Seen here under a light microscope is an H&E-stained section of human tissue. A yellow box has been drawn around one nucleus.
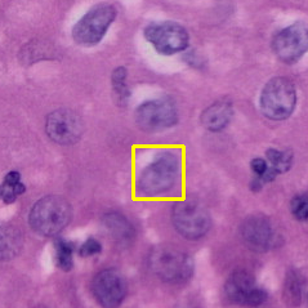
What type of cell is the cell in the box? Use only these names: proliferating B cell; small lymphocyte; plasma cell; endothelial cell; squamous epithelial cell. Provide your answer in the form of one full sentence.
In terms of identity, the cell in the box is a squamous epithelial cell.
